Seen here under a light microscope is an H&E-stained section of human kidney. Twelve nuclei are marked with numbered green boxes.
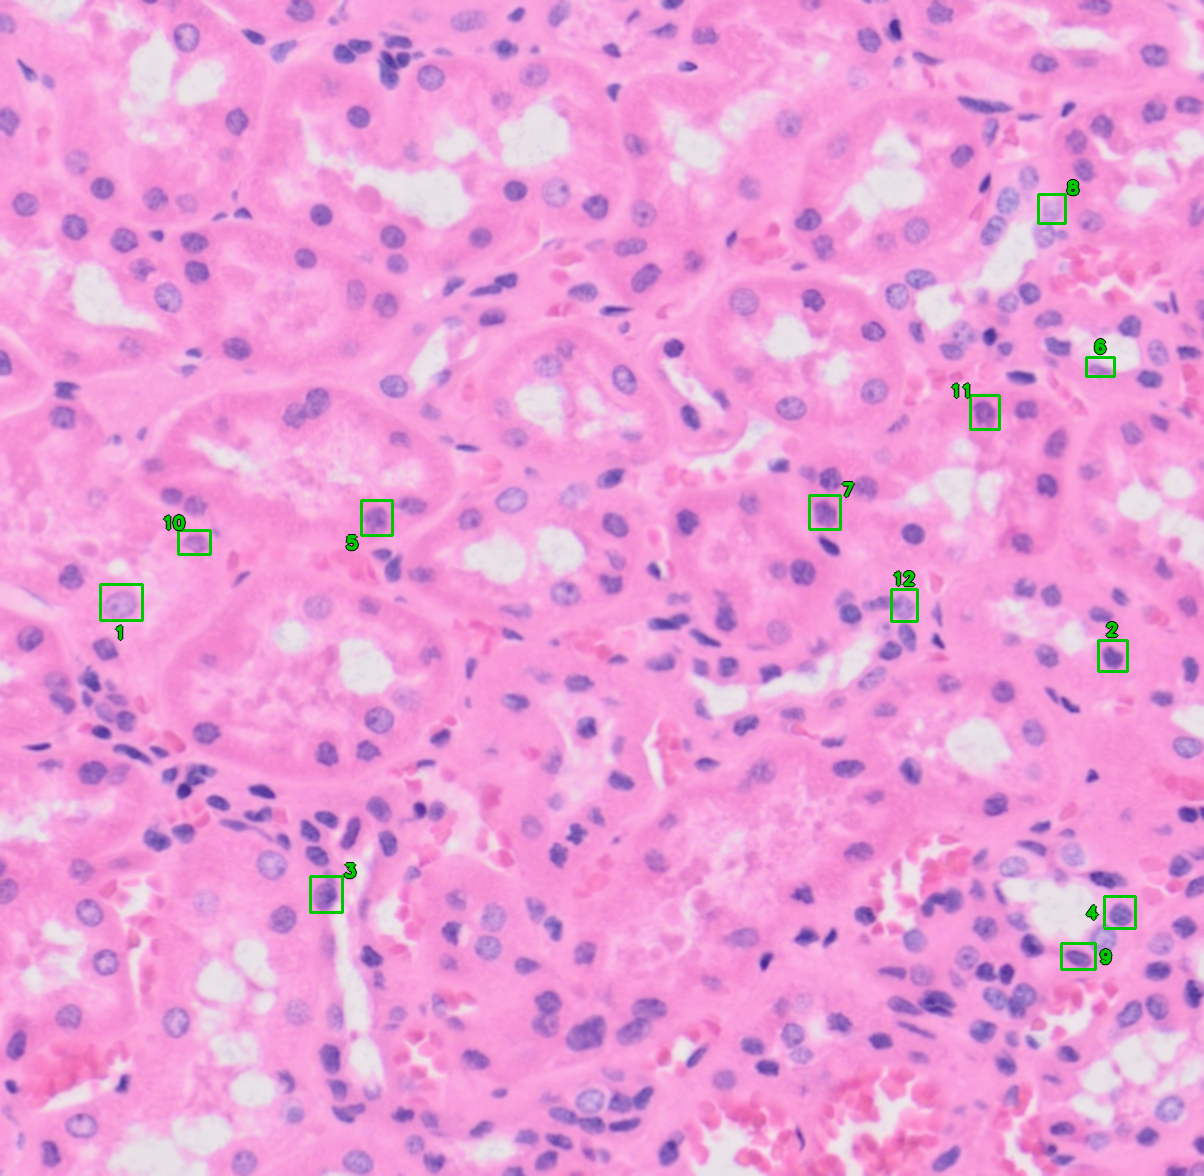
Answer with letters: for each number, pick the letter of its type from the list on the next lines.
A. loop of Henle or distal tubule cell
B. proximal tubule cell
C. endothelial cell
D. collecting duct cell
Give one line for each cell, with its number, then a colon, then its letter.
1: B
2: A
3: D
4: D
5: B
6: A
7: B
8: D
9: D
10: B
11: B
12: D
